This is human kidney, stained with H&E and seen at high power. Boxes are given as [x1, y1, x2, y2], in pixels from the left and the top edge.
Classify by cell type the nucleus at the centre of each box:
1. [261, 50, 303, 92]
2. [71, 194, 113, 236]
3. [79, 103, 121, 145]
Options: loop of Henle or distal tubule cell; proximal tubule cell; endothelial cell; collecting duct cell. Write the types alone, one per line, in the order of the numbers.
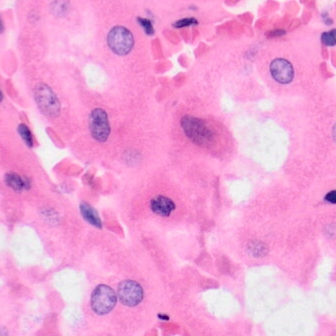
proximal tubule cell
endothelial cell
proximal tubule cell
